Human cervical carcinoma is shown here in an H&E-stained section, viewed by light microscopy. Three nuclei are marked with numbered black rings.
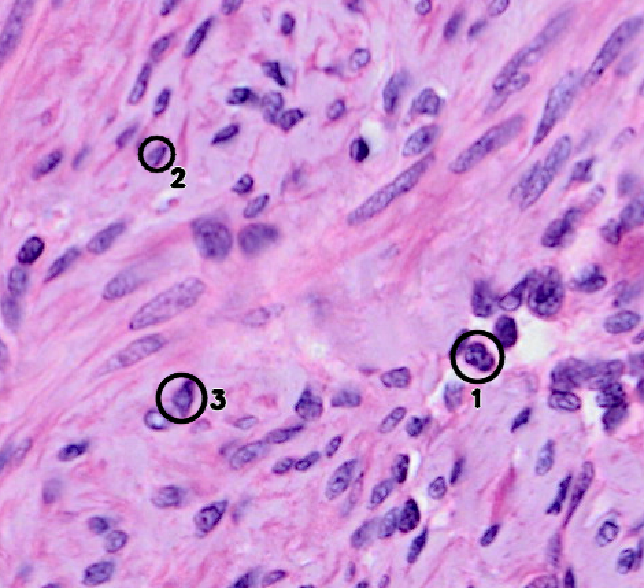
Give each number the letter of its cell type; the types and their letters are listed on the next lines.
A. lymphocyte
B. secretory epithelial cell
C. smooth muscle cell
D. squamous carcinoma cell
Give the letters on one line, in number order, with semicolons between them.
A; C; C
